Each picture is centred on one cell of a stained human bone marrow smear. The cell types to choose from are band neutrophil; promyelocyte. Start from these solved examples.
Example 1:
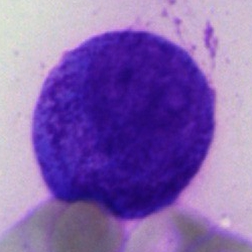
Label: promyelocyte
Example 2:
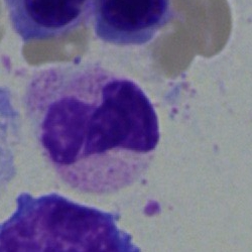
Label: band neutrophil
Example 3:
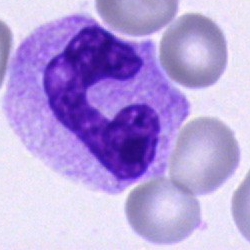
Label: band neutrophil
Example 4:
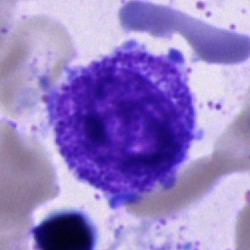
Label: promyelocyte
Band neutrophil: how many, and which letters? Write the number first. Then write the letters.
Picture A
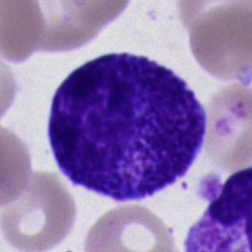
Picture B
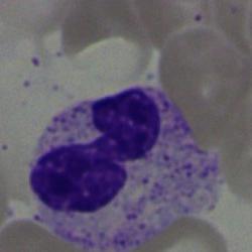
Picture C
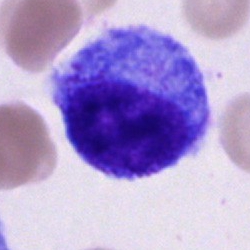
1: B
